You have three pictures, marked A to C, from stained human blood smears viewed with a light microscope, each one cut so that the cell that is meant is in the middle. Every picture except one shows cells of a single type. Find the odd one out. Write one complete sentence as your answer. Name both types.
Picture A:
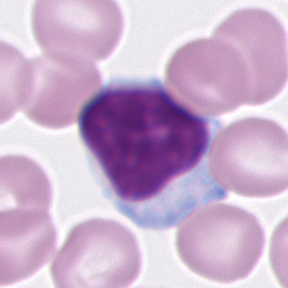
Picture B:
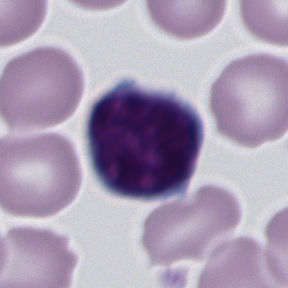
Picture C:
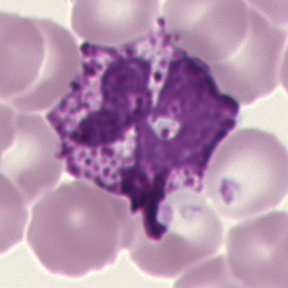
The others show typical lymphocytes, but picture C shows a basophil.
